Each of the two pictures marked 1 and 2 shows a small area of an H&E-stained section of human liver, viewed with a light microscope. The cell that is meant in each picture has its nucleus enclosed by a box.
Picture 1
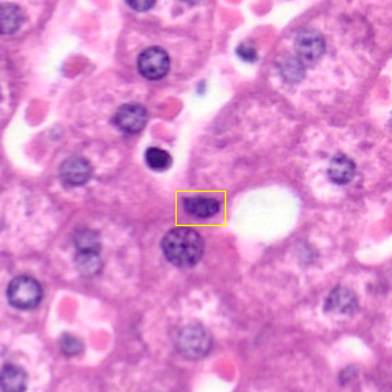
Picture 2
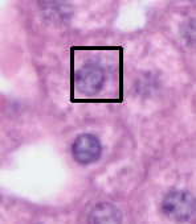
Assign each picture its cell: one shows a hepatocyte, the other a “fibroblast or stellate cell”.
1: fibroblast or stellate cell
2: hepatocyte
